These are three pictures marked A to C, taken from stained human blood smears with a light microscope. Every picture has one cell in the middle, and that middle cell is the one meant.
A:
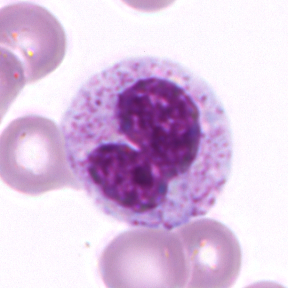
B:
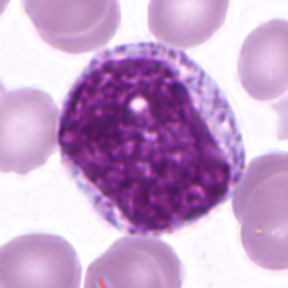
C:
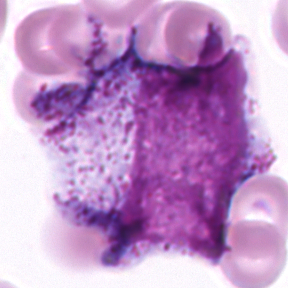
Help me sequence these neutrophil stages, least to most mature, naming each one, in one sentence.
Once sorted from least to most mature, the sequence is crop C (a promyelocyte), crop B (a myelocyte) and crop A (a band neutrophil).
